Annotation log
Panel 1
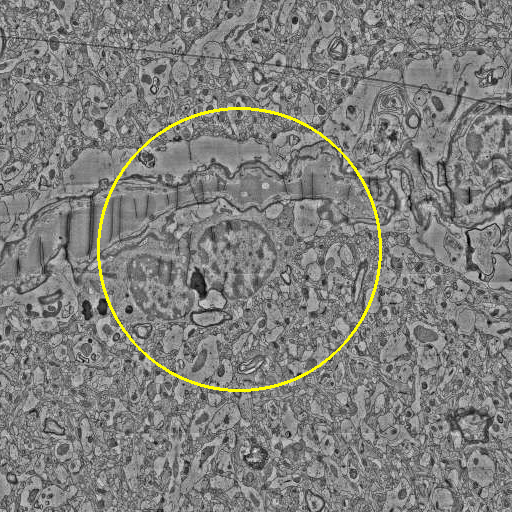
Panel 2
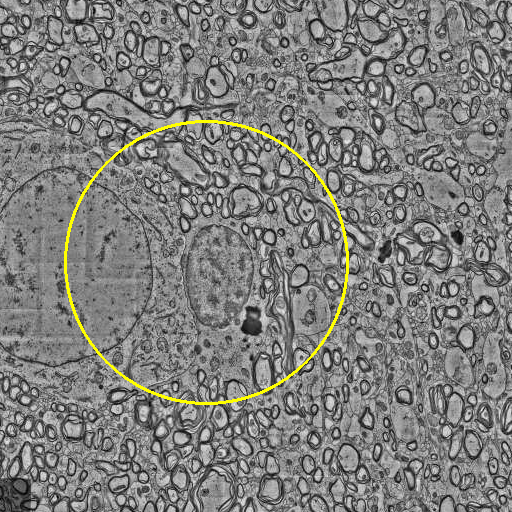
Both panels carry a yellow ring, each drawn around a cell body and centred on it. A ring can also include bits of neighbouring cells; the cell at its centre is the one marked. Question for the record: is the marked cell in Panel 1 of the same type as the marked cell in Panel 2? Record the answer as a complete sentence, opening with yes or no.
Yes, the marked cells in Panel 1 and Panel 2 are of the same type.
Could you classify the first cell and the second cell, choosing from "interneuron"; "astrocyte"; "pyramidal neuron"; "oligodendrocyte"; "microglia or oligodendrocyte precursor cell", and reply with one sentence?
The ring centre holds an oligodendrocyte in each of the two pictures.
